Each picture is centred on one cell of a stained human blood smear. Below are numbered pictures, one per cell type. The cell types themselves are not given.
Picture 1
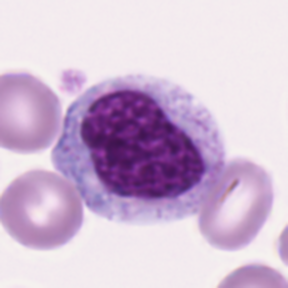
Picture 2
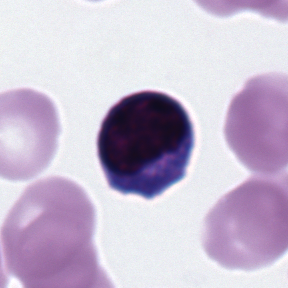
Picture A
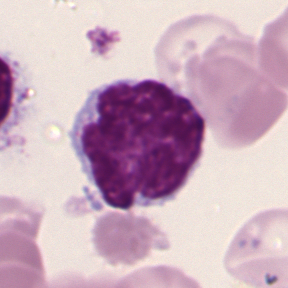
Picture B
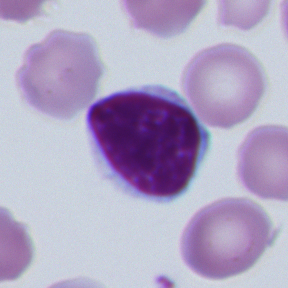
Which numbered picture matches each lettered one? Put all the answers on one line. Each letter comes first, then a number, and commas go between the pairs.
A 2, B 2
